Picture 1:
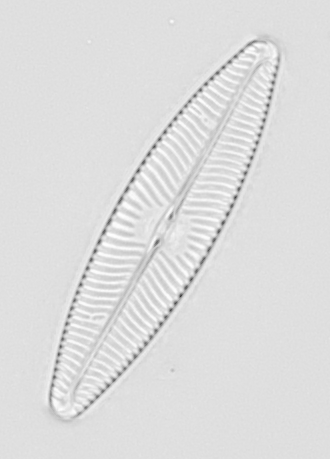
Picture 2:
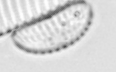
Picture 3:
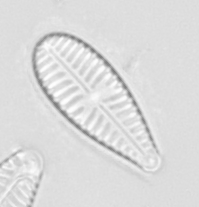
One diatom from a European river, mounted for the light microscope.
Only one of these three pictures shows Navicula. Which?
Picture 1.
